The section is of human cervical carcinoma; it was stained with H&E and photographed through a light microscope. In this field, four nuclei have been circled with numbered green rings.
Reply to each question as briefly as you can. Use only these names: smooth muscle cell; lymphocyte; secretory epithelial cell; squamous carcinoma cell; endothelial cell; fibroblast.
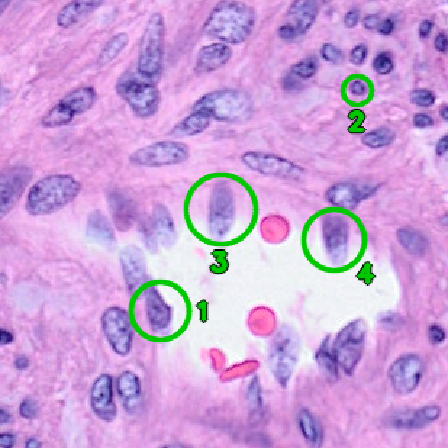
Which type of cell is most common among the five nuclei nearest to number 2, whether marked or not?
smooth muscle cell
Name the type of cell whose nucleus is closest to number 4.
smooth muscle cell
